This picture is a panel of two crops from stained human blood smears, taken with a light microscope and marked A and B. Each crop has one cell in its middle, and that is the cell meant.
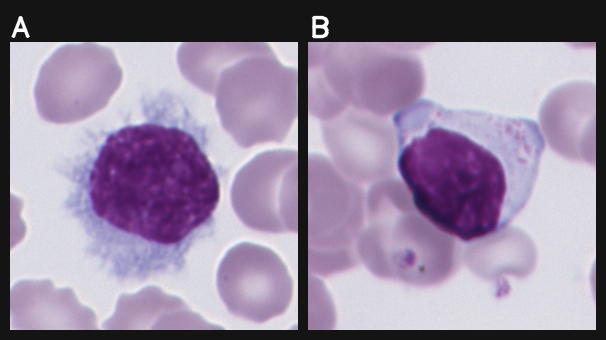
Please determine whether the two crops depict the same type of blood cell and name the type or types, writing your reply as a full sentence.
No, crop A gives us a hairy cell and crop B gives us a large granular lymphocyte.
